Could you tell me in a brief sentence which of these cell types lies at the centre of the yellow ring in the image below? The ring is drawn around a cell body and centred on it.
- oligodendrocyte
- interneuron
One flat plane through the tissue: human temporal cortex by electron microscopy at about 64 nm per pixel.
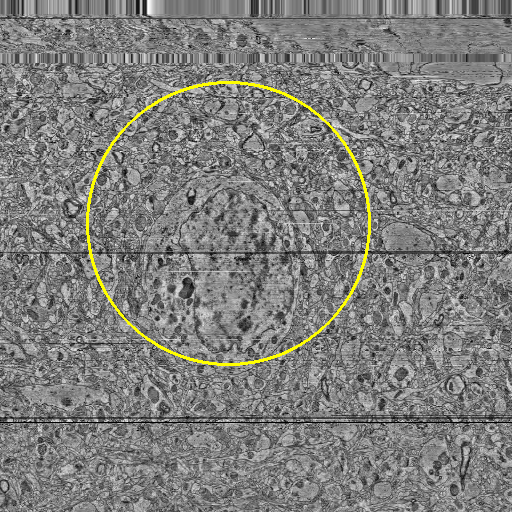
The cell centred in the ring is an interneuron.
